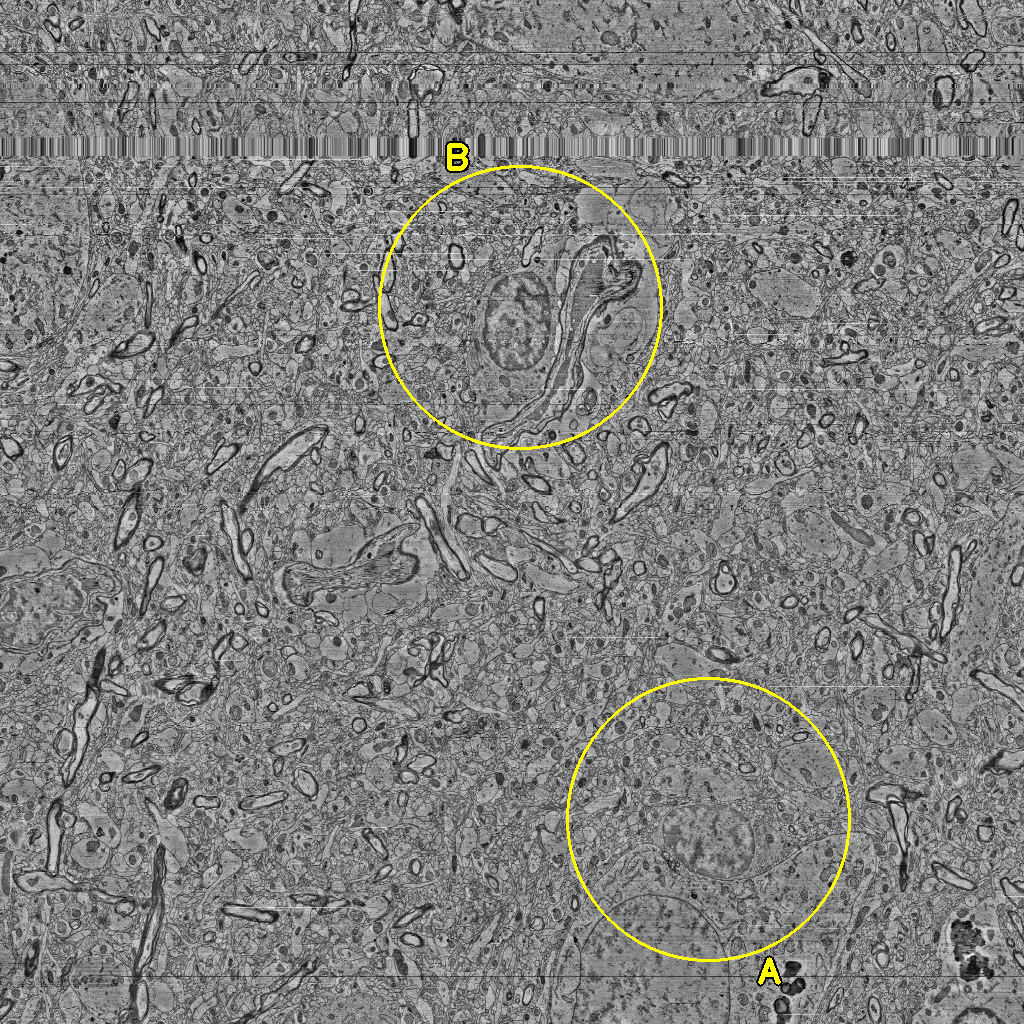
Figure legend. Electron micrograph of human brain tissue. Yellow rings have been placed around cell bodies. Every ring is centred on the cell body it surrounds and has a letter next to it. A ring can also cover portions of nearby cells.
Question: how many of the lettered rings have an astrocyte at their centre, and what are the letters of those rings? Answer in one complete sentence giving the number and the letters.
In this electron micrograph, no ring is centred on an astrocyte, so the count is zero.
